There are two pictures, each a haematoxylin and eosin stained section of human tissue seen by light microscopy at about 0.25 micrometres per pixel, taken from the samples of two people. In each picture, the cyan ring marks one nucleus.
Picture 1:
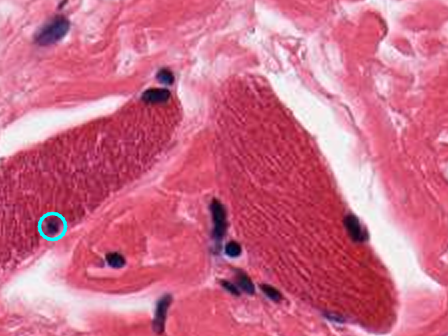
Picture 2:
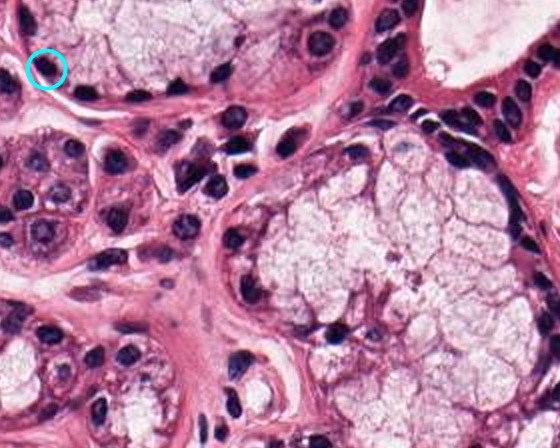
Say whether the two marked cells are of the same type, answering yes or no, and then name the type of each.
No, the first is a skeletal muscle fibre and the second a mucous gland cell.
